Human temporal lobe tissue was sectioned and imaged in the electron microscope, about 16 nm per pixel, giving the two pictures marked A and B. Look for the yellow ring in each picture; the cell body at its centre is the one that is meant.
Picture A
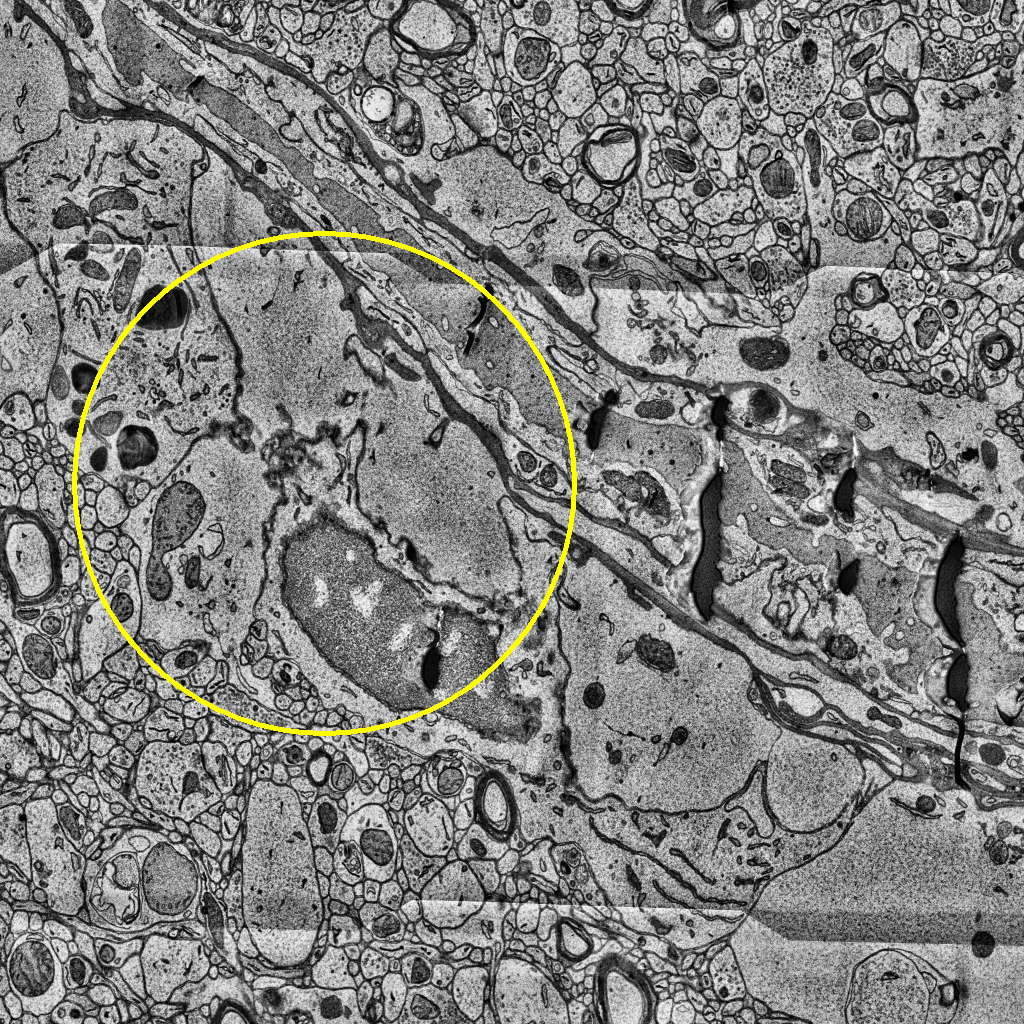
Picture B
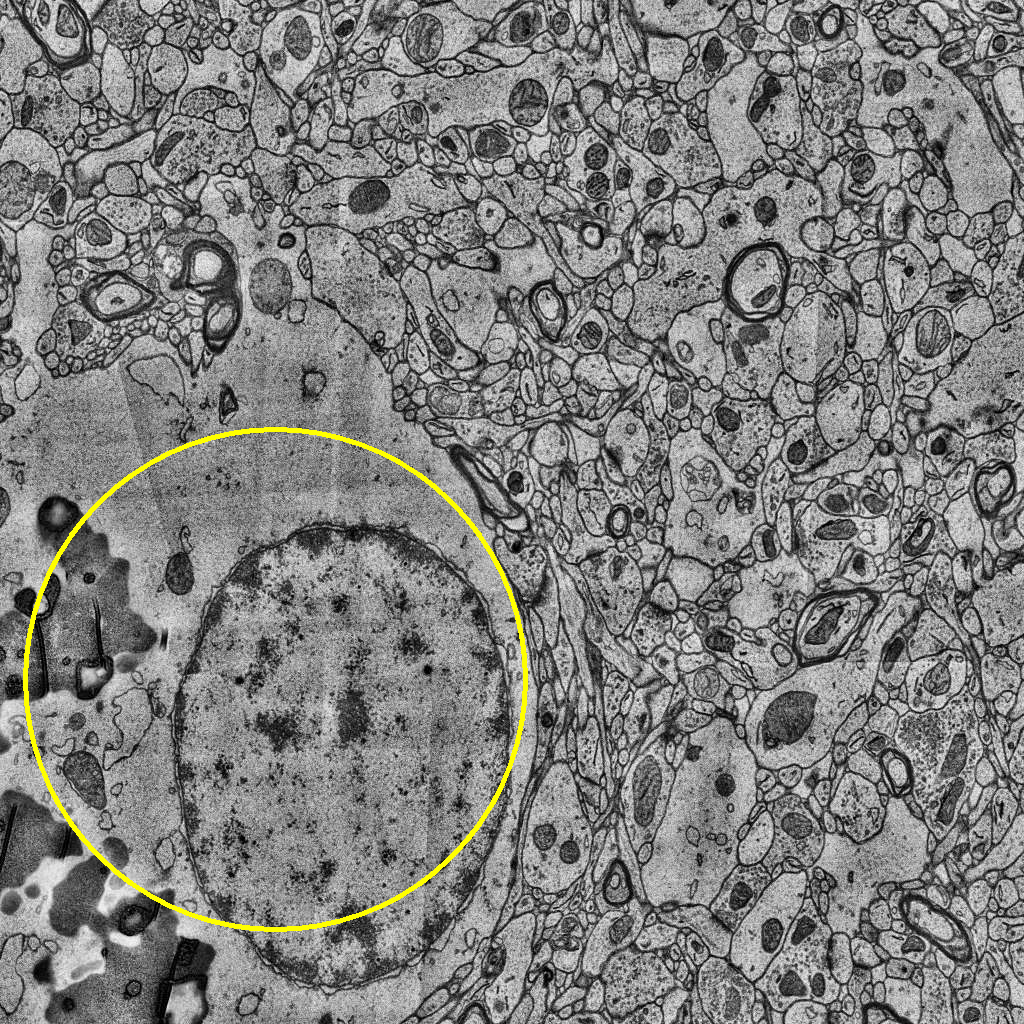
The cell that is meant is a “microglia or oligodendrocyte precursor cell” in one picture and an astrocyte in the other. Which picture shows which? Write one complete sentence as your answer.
Picture A shows a “microglia or oligodendrocyte precursor cell” and picture B shows an astrocyte.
